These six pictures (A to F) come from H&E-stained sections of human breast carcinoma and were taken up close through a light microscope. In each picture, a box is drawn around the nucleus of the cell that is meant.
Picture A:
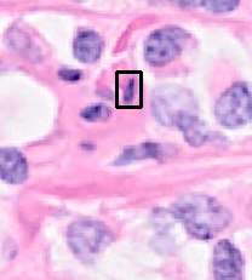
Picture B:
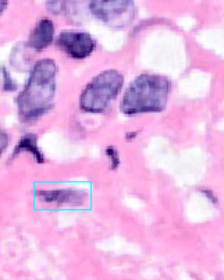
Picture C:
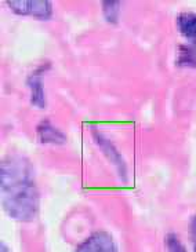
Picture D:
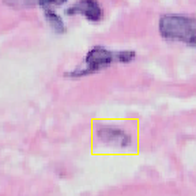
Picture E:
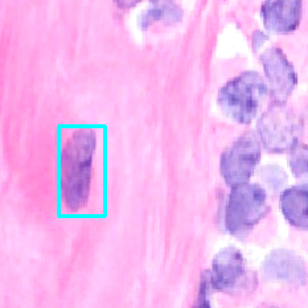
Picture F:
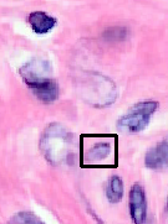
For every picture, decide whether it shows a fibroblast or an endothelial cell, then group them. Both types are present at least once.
A: endothelial cell
B: fibroblast
C: fibroblast
D: fibroblast
E: fibroblast
F: endothelial cell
